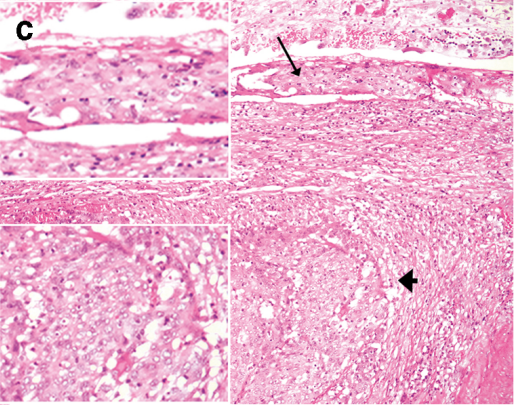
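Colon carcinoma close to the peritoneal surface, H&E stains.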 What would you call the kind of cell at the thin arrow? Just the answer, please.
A: Reactive mesothelial cells.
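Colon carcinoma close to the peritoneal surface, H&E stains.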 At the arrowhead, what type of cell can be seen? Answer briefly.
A: Tumor cells.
